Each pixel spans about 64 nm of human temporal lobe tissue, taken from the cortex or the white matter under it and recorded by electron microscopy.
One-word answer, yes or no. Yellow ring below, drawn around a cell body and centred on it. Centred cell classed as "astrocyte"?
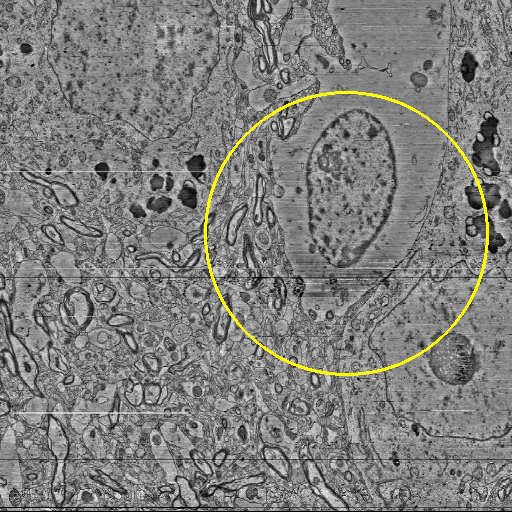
yes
